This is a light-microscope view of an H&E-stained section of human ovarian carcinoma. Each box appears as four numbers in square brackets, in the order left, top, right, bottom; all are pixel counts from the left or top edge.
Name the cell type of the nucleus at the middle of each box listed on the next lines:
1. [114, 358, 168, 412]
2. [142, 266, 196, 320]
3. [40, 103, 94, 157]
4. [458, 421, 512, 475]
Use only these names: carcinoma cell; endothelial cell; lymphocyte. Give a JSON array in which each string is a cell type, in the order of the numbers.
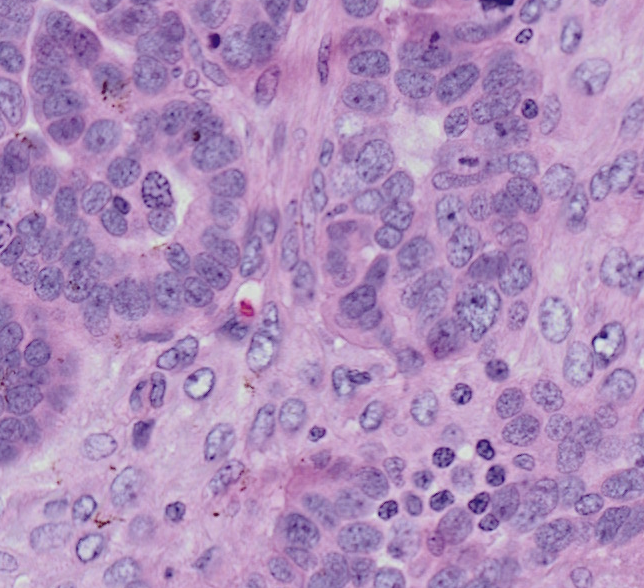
["endothelial cell", "carcinoma cell", "carcinoma cell", "lymphocyte"]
